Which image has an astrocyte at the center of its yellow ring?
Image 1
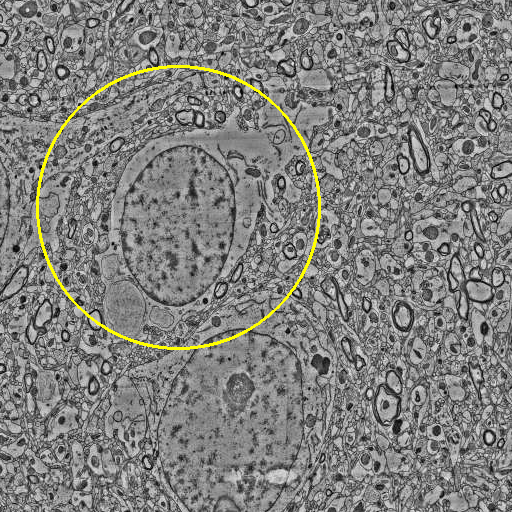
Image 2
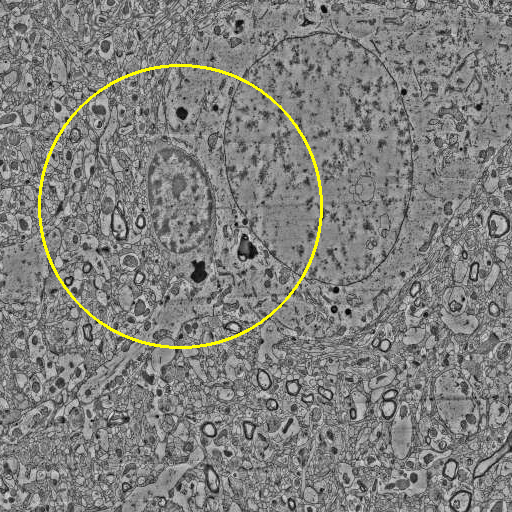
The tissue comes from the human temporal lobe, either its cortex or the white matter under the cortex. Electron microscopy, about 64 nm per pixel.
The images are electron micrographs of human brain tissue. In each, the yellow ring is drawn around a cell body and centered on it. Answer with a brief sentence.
It is at the center of the ring in Image 1.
